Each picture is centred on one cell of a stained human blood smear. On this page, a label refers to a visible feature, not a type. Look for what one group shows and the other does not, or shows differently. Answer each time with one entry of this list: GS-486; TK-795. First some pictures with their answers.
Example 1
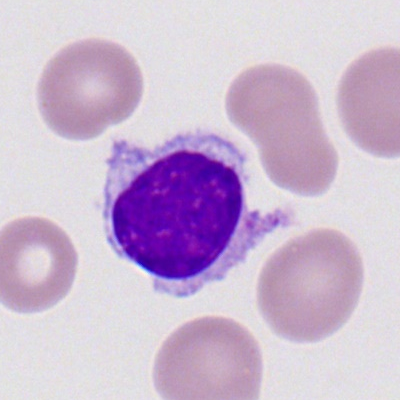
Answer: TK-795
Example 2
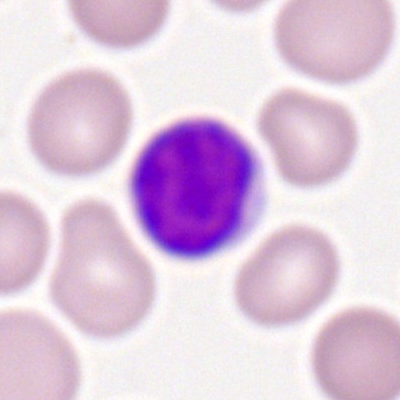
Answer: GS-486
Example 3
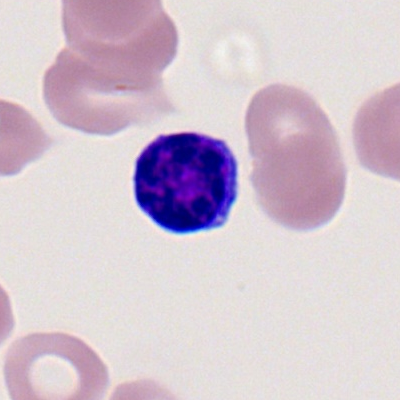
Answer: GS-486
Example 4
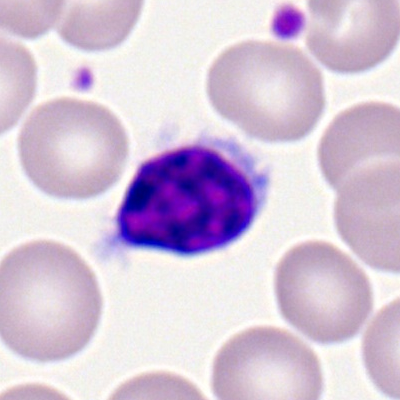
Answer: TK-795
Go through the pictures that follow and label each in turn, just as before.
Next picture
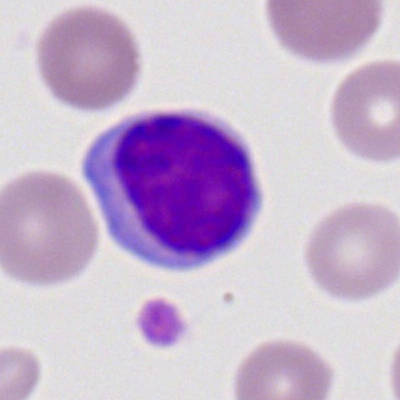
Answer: GS-486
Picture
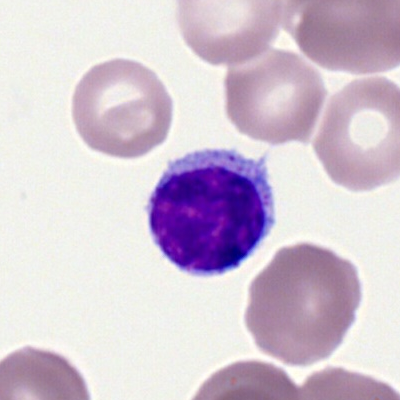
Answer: TK-795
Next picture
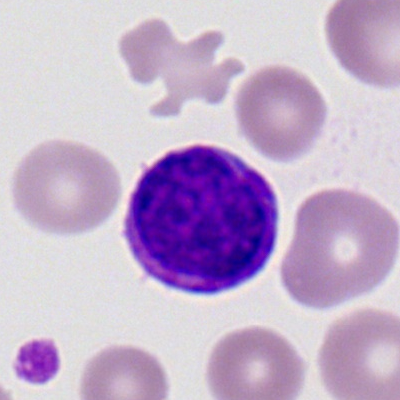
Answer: GS-486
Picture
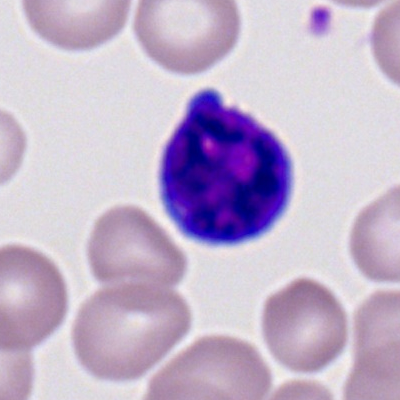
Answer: TK-795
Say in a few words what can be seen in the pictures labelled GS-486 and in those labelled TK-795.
Seen in GS-486: smooth outline; seen in TK-795: ragged outline or projections.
